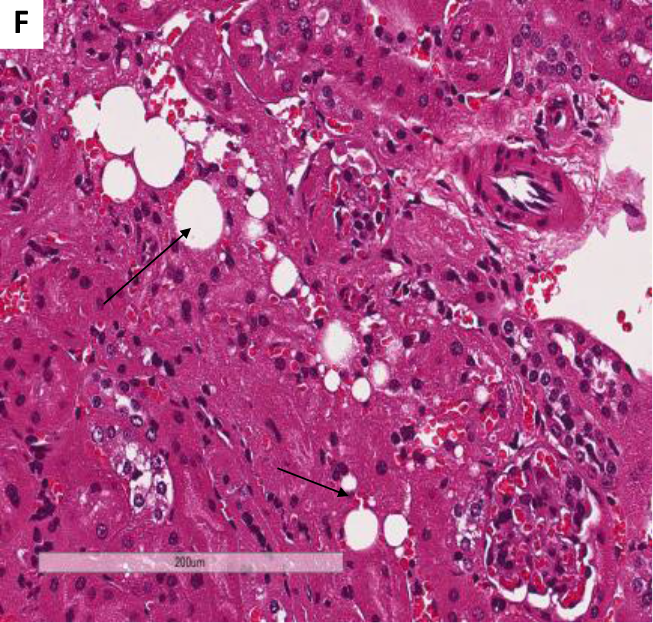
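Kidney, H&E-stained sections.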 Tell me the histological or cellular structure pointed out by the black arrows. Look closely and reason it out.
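The arrows point at round, empty-looking white vacuoles of varying size. The vacuoles lie among eosinophilic renal tubules. Some vacuoles are much larger than nearby nuclei.
Lipid.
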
